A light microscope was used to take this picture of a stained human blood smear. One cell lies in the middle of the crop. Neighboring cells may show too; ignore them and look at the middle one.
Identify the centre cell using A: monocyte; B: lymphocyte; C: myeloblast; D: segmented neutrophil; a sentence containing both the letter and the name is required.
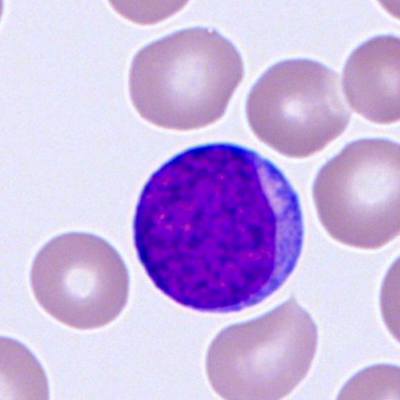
Identified correctly by option C, the cell in the middle is a myeloblast.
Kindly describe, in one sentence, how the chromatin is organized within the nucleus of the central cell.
This nucleus has coarsely clumped chromatin.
